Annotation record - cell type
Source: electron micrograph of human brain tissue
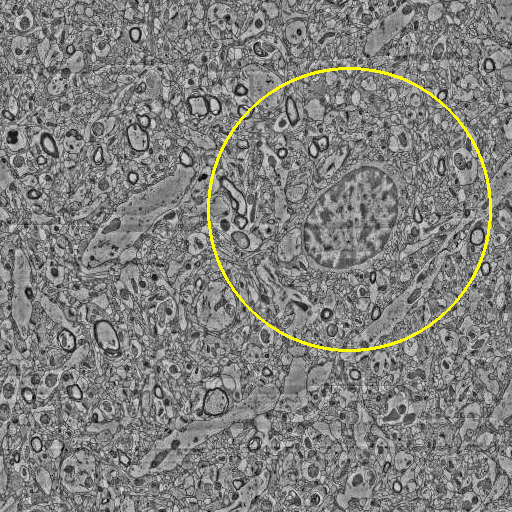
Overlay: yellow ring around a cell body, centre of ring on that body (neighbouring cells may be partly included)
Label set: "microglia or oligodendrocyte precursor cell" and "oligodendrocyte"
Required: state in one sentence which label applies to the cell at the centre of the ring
This cell should be labelled as an oligodendrocyte.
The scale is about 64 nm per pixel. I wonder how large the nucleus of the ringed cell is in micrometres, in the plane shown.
The ringed cell's nucleus is about 7 micrometres long and 5 micrometres wide in this plane.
